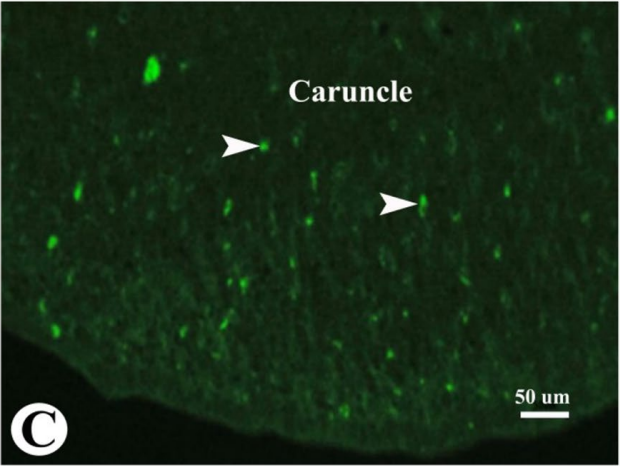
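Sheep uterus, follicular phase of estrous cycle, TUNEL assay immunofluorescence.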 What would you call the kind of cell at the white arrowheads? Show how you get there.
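Stromal cells. Many small bright green dots are scattered evenly through a uniform tissue. The arrowheads point to two of these single small dots.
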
